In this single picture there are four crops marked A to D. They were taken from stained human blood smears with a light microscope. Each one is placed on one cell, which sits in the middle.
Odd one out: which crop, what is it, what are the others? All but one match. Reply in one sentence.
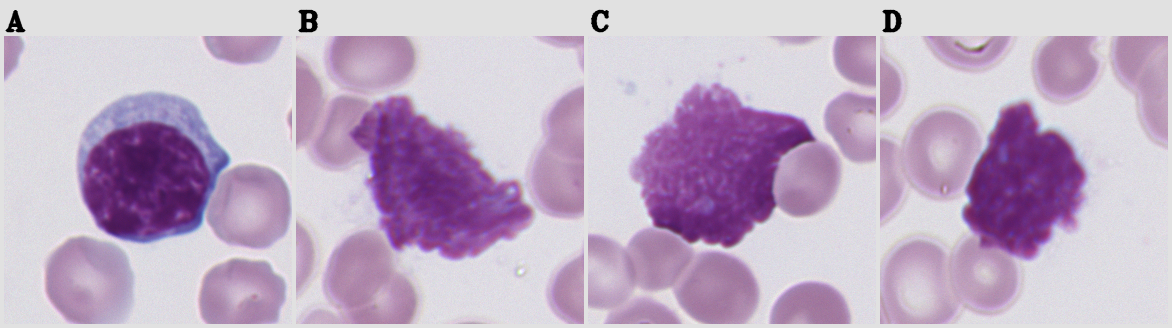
Crop A contains a typical lymphocyte, setting it apart from the other crops, which all contain smudge cells.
